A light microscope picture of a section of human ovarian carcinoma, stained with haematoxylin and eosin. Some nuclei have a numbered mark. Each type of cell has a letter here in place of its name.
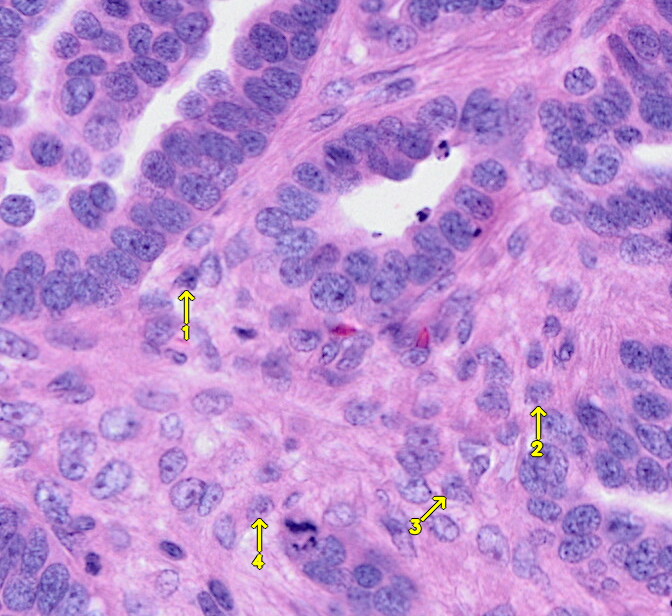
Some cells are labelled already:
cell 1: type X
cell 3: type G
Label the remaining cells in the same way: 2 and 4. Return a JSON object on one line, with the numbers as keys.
{"2": "type G", "4": "type G"}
